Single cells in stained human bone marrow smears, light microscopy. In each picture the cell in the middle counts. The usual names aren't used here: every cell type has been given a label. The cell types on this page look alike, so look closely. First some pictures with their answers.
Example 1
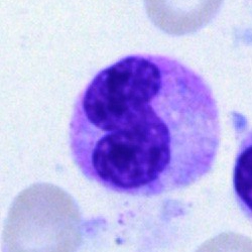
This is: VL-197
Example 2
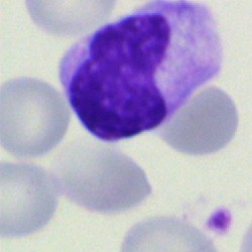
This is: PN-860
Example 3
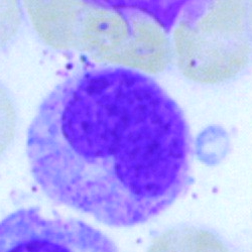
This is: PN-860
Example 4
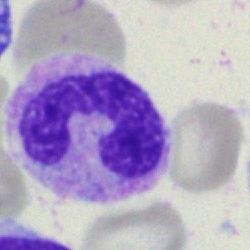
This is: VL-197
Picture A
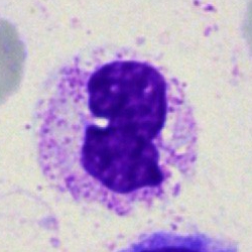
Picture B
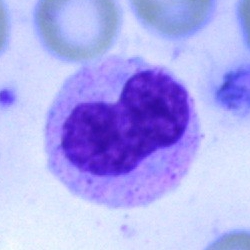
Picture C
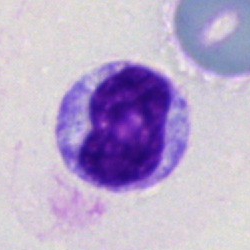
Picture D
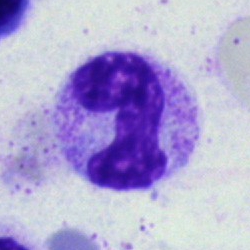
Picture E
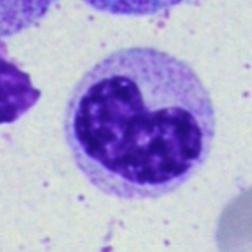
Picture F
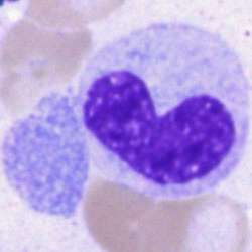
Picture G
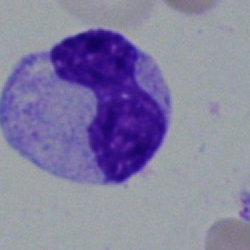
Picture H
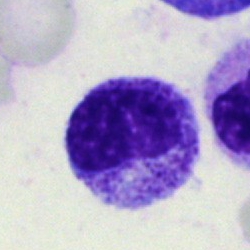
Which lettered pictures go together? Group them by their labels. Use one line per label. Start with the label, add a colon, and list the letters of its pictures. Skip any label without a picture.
VL-197: A, D, E, G
PN-860: B, C, F, H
